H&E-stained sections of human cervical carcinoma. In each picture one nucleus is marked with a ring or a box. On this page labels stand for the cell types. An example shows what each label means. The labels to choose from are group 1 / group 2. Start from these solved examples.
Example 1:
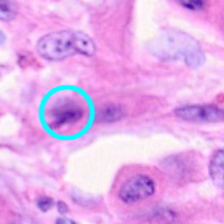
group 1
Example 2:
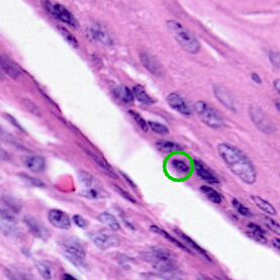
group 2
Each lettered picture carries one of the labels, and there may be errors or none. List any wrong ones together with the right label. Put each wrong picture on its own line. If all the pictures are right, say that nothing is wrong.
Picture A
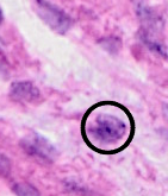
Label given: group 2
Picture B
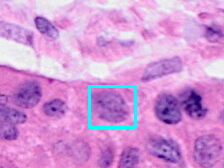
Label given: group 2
A: group 1, not group 2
